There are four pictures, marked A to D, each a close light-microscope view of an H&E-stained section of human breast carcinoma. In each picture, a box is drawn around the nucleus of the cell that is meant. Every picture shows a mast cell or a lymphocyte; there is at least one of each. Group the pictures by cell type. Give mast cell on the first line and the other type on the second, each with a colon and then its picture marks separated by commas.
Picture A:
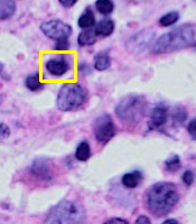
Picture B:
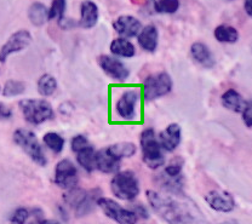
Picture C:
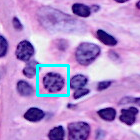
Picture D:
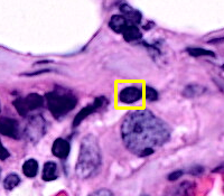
mast cell: C
lymphocyte: A, B, D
